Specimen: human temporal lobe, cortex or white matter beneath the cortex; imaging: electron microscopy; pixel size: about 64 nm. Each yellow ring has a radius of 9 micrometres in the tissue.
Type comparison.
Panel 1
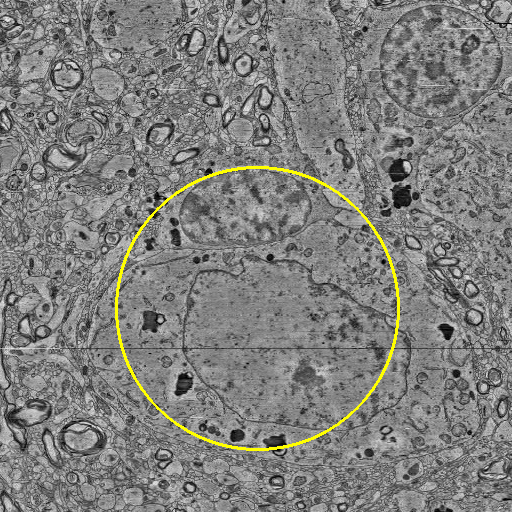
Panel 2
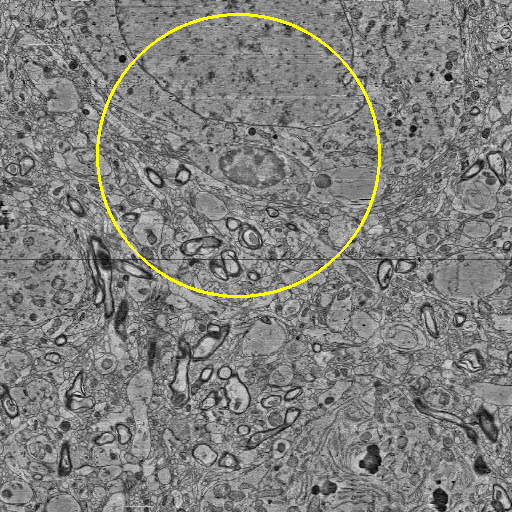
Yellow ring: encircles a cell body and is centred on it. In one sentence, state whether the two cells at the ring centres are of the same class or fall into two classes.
In these panels, the two cells at the ring centres fall into two classes.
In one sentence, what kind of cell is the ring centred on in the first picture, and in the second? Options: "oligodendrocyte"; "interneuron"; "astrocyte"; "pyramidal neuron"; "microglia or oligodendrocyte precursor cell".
The cell at the centre of the second ring is an oligodendrocyte; the first ring's cell is a pyramidal neuron.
